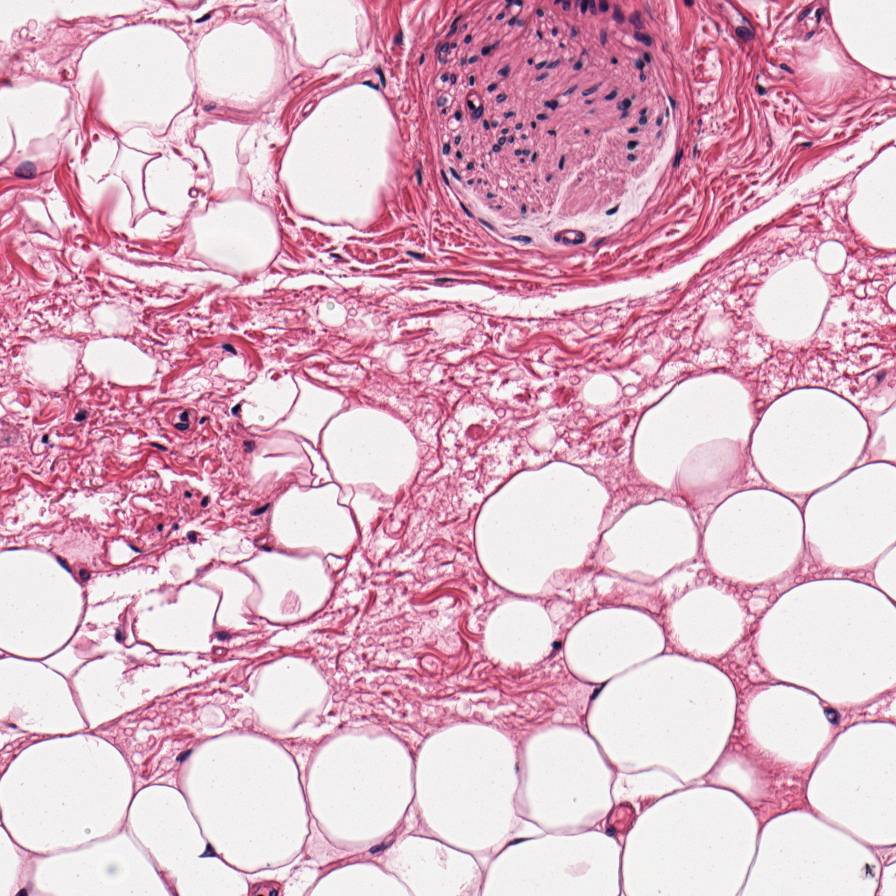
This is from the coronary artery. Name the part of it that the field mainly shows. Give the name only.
fat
